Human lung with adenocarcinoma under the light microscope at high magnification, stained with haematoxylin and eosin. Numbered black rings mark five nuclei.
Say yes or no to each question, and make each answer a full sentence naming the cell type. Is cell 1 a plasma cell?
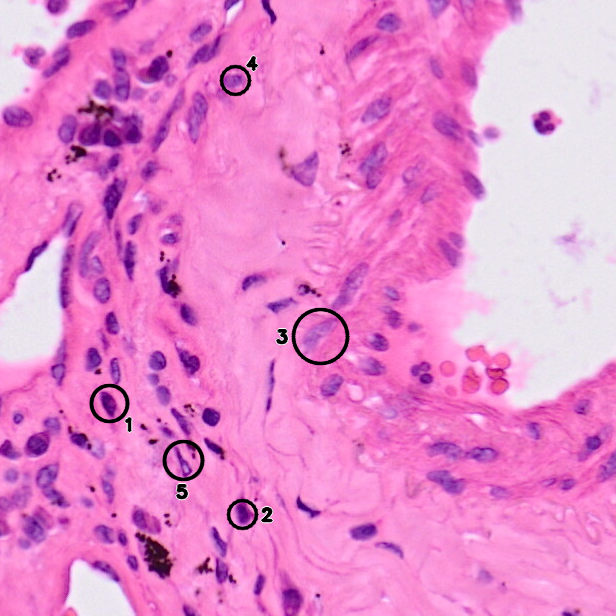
Yes, in this section the cell with number 1 is a plasma cell.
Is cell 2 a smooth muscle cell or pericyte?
No, calling cell 2 a smooth muscle cell or pericyte is a mistake; it is a plasma cell.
